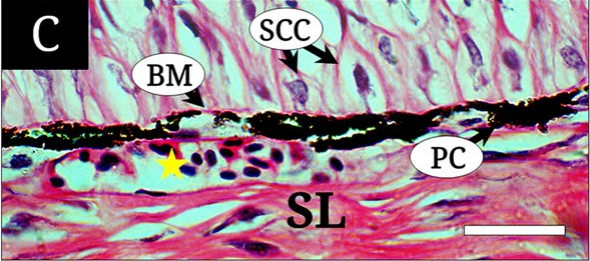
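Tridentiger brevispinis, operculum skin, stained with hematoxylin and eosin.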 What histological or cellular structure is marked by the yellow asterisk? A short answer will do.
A: Blood capillaries.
